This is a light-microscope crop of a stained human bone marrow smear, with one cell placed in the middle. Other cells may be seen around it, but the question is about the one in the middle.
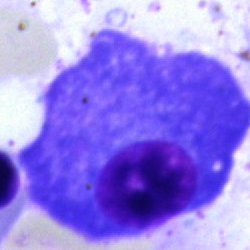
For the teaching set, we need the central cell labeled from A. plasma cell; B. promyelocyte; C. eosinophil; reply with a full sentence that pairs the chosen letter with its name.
The correct identification, given in option A, is that the central cell is a plasma cell.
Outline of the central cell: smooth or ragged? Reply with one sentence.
It is the contour of the cell that is irregular, being ragged or projecting outward.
